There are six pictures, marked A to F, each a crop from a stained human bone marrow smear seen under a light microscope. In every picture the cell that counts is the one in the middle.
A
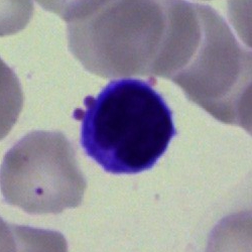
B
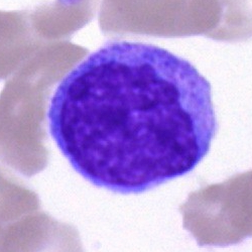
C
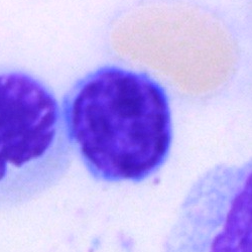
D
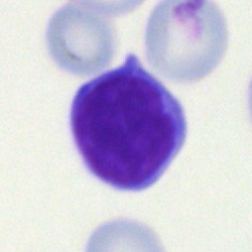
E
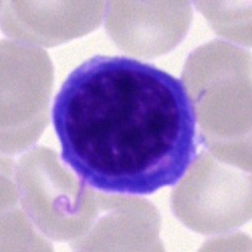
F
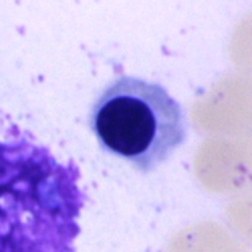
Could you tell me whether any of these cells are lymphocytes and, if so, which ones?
A, C, D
